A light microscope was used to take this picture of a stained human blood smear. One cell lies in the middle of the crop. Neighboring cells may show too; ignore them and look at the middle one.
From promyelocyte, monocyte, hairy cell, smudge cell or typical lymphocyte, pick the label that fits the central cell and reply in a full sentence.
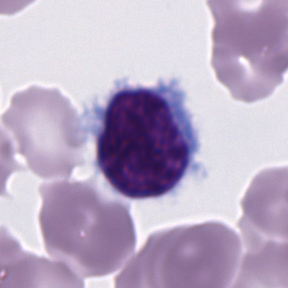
In the middle of this smear crop is a hairy cell.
